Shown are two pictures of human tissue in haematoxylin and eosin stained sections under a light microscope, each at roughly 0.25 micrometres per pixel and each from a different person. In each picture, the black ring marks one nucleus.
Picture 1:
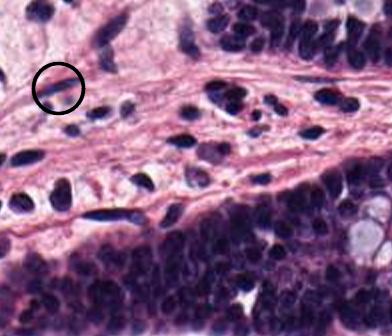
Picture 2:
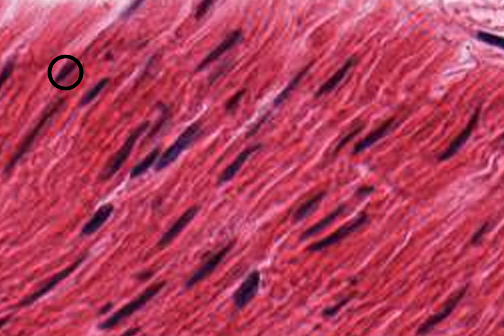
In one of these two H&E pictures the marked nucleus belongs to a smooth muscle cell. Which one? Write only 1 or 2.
2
